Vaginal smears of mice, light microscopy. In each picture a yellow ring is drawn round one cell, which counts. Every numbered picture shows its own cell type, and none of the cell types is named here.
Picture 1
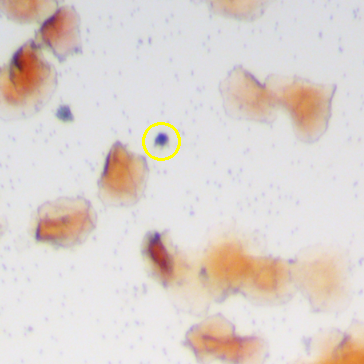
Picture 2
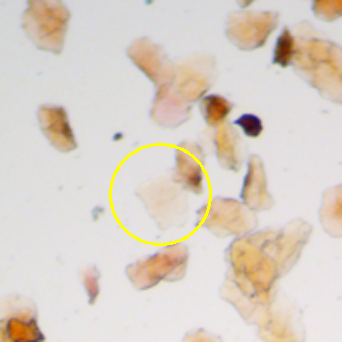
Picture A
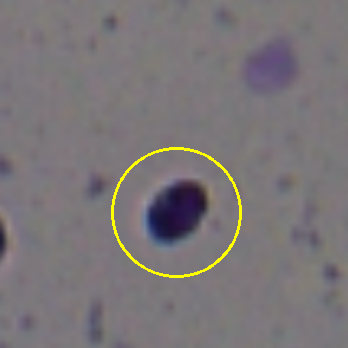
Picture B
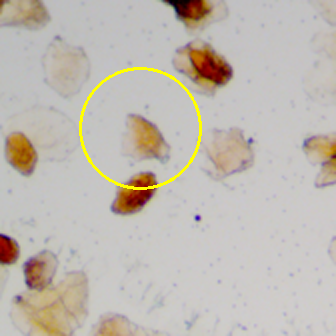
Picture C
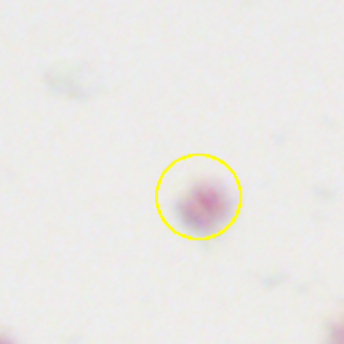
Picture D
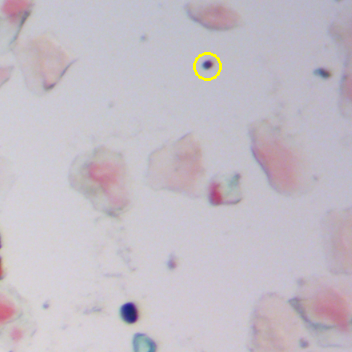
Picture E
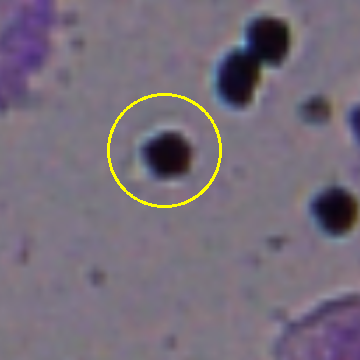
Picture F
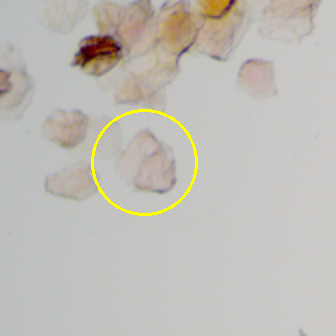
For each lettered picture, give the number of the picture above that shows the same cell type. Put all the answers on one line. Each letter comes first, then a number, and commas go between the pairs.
A 1, B 2, C 1, D 1, E 1, F 2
